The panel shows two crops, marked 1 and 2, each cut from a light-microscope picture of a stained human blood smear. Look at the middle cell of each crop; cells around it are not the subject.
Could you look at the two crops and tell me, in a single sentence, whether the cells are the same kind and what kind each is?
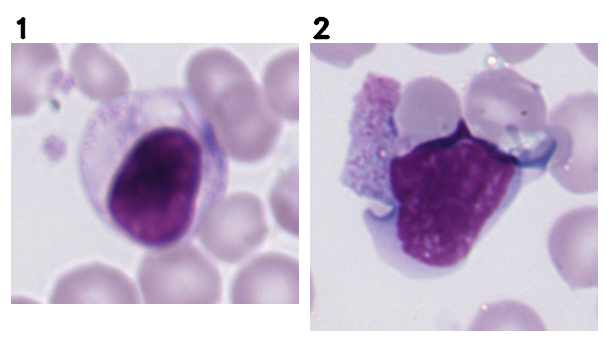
Yes, both crops are centred on cells that are large granular lymphocytes.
